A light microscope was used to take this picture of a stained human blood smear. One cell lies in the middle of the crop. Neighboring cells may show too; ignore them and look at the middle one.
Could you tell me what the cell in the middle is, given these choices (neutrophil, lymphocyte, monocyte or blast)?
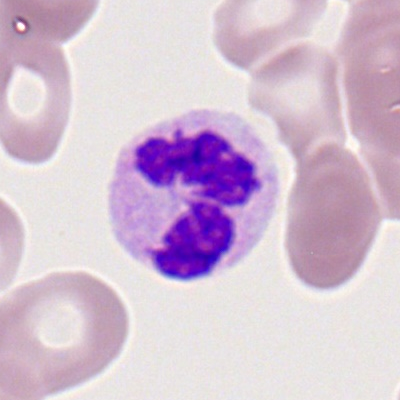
neutrophil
